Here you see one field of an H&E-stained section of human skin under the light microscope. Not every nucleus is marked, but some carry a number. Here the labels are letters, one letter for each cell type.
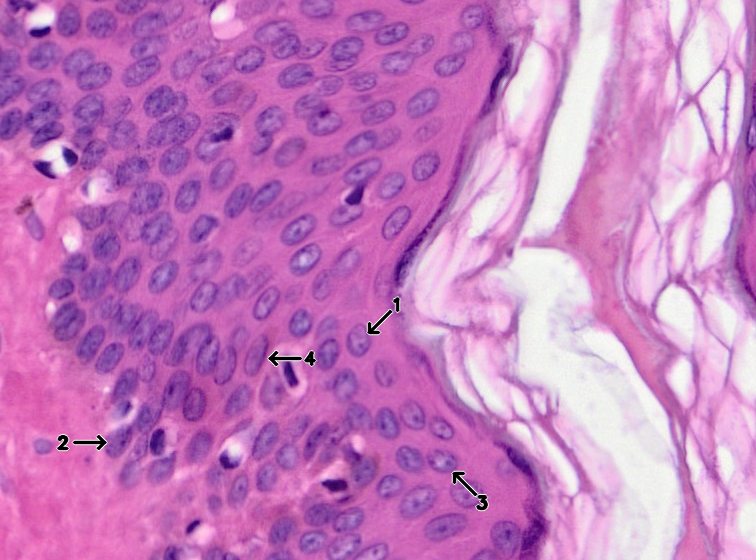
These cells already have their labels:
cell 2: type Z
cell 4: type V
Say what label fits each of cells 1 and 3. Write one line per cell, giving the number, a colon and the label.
1: type V
3: type V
